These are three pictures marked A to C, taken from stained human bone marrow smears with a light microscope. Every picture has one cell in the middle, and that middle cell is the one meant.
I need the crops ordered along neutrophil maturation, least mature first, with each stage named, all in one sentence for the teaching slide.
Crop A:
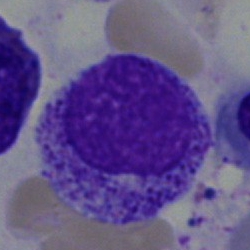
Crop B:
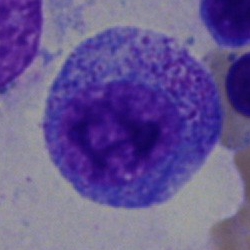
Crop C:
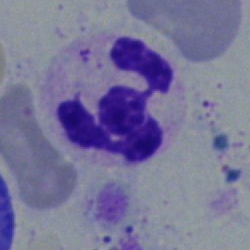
From least to most mature, the crops are ordered crop B (a promyelocyte), crop A (a myelocyte) and crop C (a segmented neutrophil).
